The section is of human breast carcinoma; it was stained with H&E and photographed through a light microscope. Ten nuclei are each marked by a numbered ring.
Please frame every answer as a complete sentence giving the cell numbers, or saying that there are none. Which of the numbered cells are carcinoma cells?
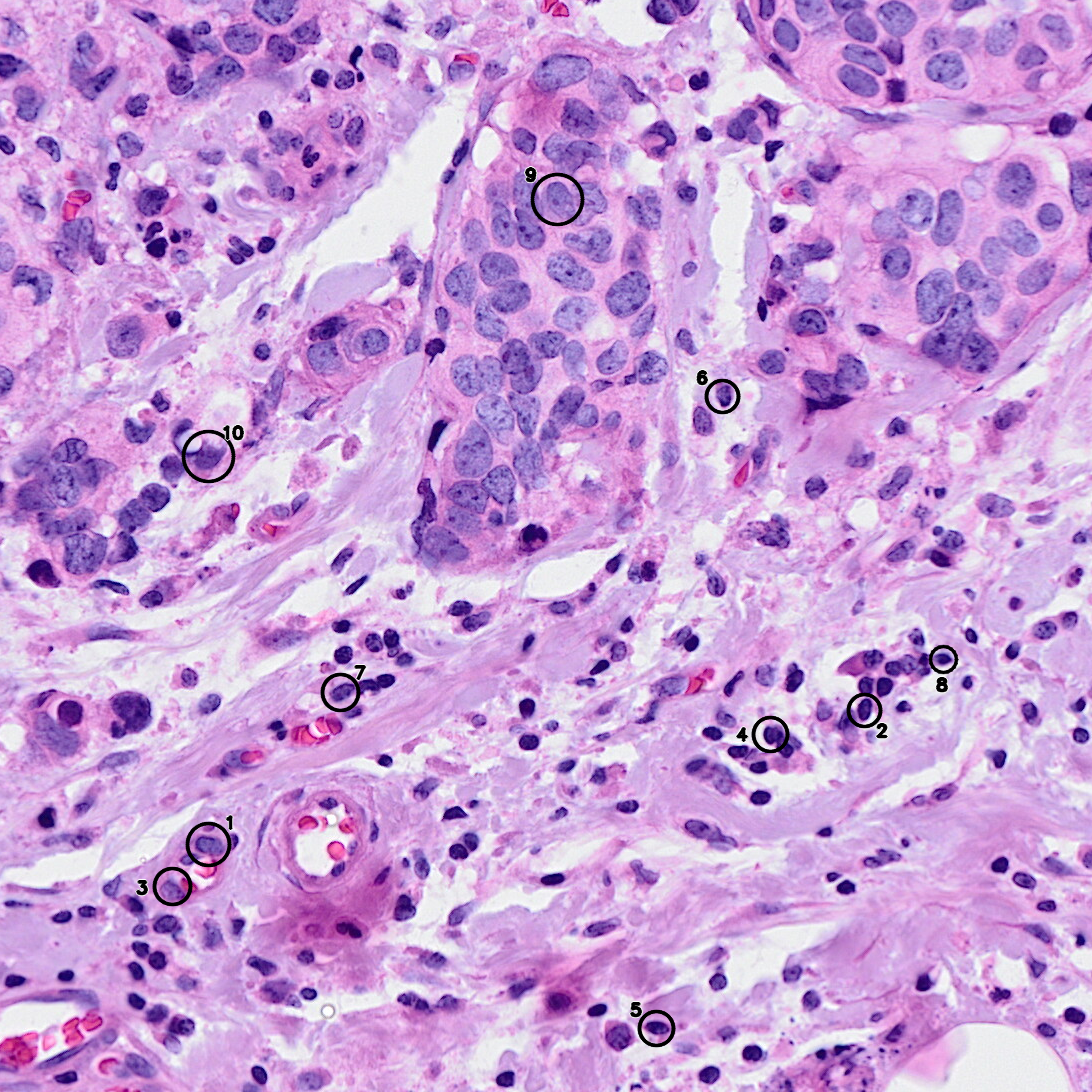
In this section, the cells labelled 9 and 10 are carcinoma cells.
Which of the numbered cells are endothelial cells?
The cells referred to by the numbers 1 and 3 are endothelial cells.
